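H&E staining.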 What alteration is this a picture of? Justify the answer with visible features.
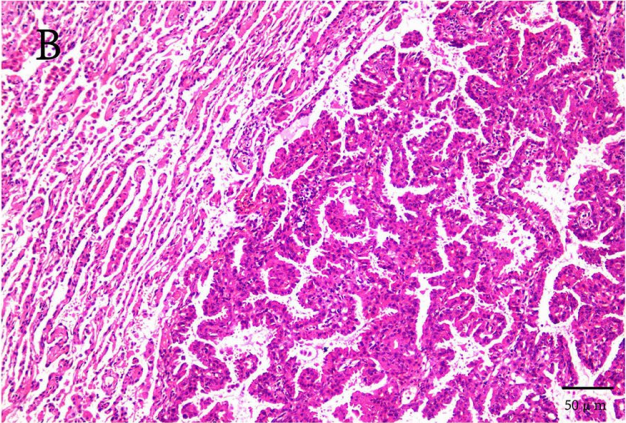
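Clearly demarcated. Crowded branching epithelial tissue occupies the right part of the panel. Looser, paler tissue lies on the left with a distinct border between them. No thick fibrous capsule separates the two.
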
